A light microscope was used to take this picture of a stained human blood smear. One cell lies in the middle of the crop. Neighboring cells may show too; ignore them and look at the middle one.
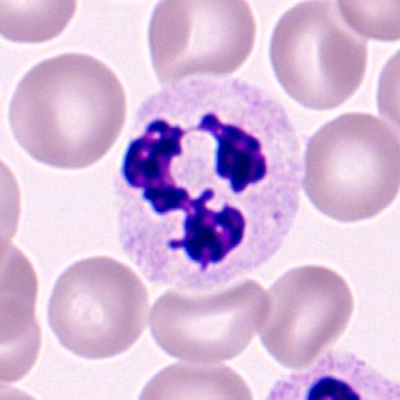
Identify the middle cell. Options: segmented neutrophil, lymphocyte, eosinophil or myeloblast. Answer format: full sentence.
Classification of the middle cell gives a segmented neutrophil.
